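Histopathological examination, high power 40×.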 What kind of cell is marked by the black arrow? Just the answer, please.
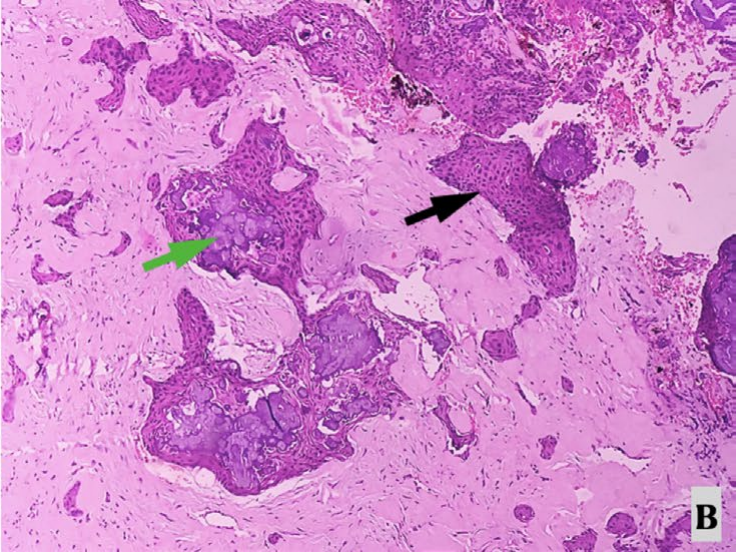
Polyhedral epithelial cells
